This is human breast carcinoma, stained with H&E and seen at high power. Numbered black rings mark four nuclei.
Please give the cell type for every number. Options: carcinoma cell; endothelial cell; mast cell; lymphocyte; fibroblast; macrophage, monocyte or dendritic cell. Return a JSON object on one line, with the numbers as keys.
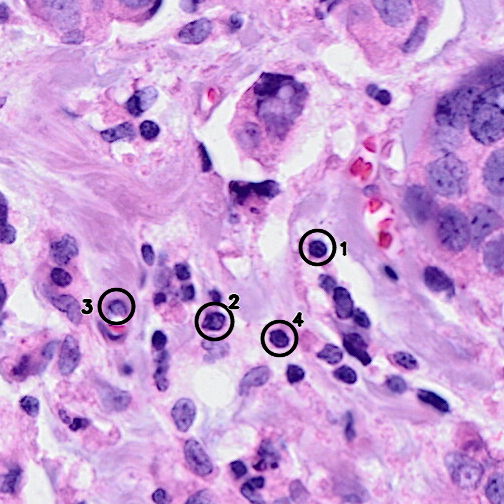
{"1": "lymphocyte", "2": "lymphocyte", "3": "endothelial cell", "4": "lymphocyte"}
